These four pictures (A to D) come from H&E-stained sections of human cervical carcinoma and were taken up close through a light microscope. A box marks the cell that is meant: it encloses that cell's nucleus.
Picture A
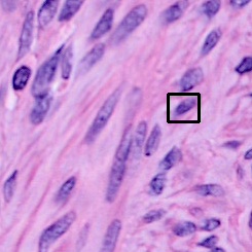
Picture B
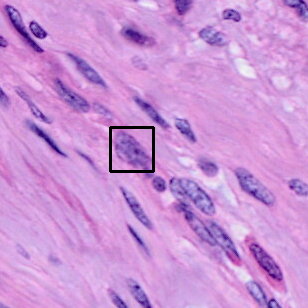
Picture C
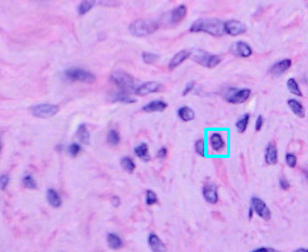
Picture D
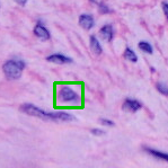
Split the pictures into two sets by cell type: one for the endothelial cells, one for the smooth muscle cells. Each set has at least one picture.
A: smooth muscle cell
B: endothelial cell
C: smooth muscle cell
D: smooth muscle cell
